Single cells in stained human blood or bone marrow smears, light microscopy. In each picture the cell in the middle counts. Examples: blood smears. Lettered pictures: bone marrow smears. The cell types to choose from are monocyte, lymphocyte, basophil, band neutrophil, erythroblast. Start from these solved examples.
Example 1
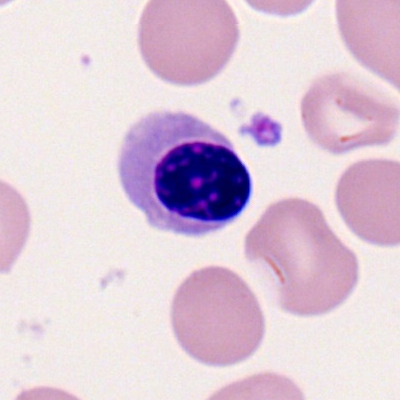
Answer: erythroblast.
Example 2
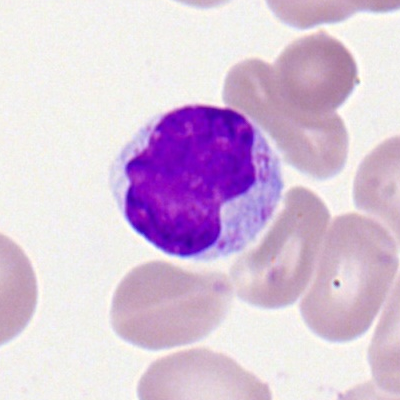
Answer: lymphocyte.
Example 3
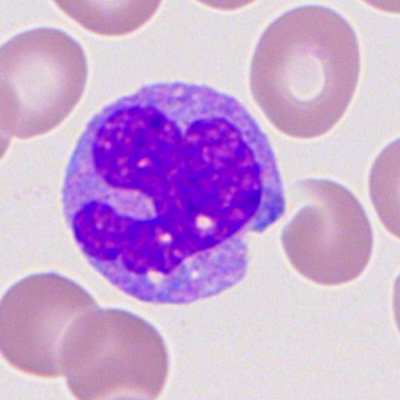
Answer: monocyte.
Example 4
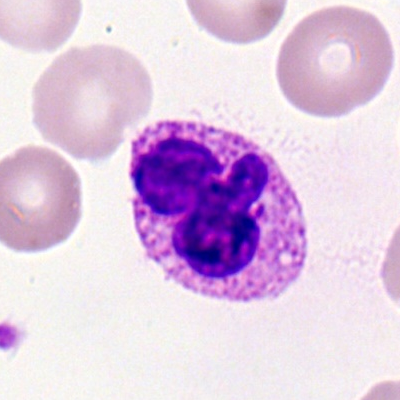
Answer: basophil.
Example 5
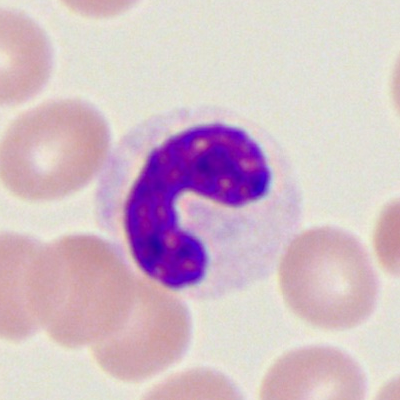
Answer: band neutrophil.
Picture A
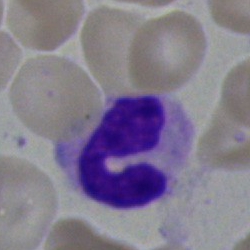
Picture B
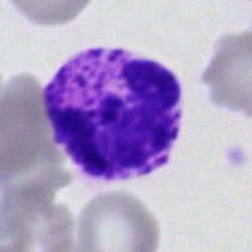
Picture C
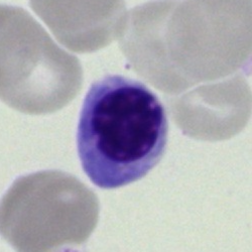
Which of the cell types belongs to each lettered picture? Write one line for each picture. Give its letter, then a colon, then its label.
A: band neutrophil.
B: basophil.
C: erythroblast.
